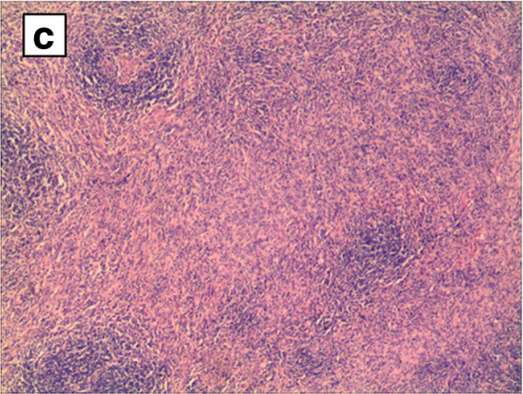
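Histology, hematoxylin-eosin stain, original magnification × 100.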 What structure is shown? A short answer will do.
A: Small-sized follicles with hyalinized germinal centers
